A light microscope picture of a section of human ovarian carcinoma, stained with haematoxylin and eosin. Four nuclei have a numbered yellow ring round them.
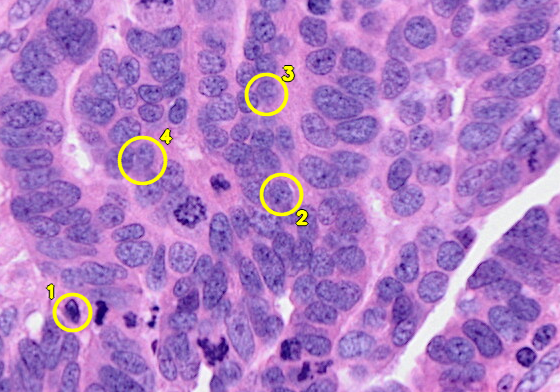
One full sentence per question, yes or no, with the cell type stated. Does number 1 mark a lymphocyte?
Yes, in this section the cell numbered 1 is a lymphocyte.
